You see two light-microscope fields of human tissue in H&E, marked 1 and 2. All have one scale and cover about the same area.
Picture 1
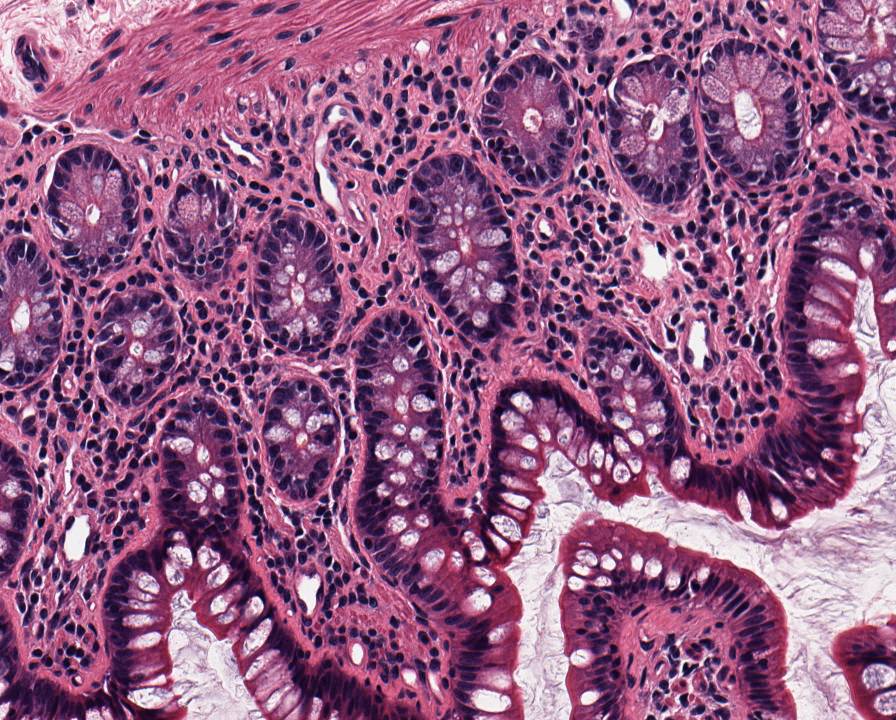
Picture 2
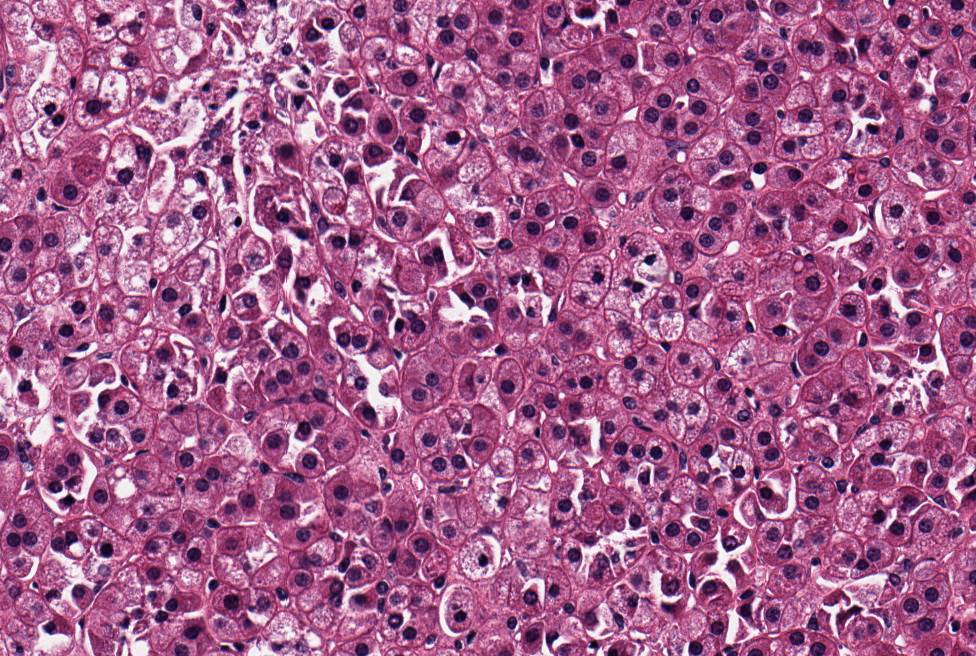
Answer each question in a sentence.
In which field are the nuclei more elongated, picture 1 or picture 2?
The nuclei are more elongated in picture 1.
